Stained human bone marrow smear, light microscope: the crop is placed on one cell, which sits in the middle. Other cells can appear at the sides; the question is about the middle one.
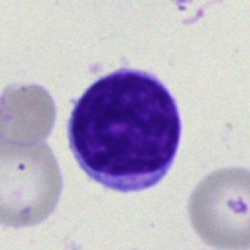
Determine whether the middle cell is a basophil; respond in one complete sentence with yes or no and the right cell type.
No, the central cell is counted as a lymphocyte instead of a basophil.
